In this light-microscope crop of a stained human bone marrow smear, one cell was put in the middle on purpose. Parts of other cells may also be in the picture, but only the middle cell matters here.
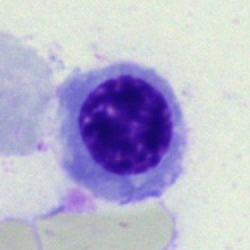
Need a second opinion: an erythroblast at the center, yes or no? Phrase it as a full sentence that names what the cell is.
Yes, an erythroblast is present in the middle of the crop.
